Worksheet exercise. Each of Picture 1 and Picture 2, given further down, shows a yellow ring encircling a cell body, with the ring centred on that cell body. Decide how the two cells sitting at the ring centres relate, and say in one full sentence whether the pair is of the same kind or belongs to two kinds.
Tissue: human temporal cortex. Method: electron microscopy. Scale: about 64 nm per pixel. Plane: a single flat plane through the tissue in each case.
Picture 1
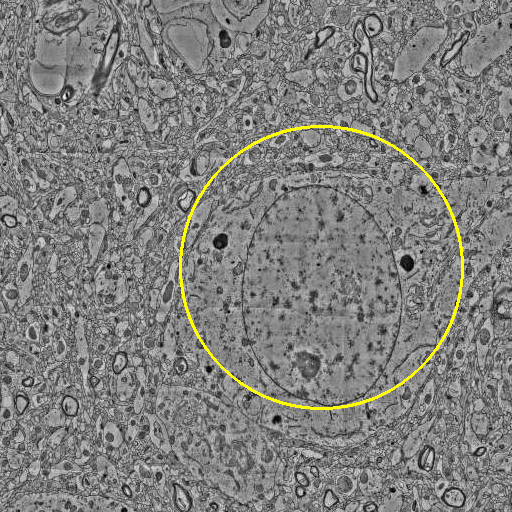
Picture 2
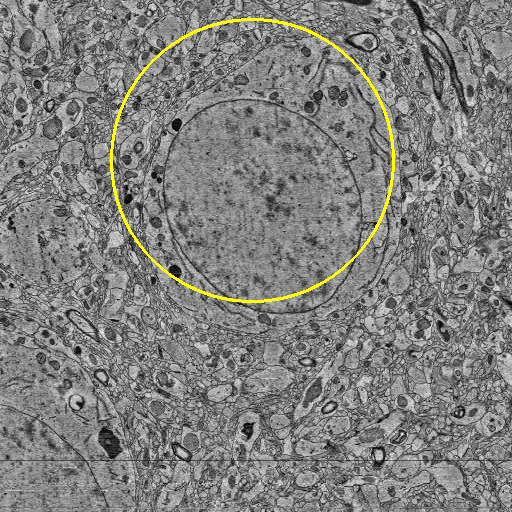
The cells at the ring centres in Picture 1 and Picture 2 are of the same kind.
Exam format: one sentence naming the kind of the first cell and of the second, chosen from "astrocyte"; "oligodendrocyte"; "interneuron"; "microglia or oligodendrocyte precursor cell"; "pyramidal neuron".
Each of the ringed cells, first and second, is a pyramidal neuron.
